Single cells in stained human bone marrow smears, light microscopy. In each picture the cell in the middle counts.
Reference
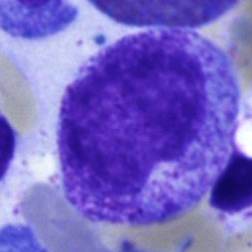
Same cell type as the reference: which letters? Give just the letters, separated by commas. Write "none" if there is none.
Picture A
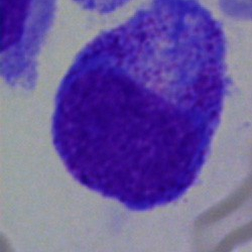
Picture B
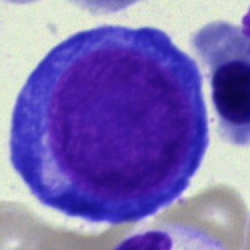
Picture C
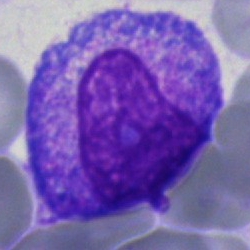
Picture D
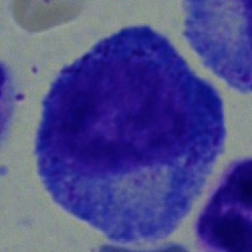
A, C, D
